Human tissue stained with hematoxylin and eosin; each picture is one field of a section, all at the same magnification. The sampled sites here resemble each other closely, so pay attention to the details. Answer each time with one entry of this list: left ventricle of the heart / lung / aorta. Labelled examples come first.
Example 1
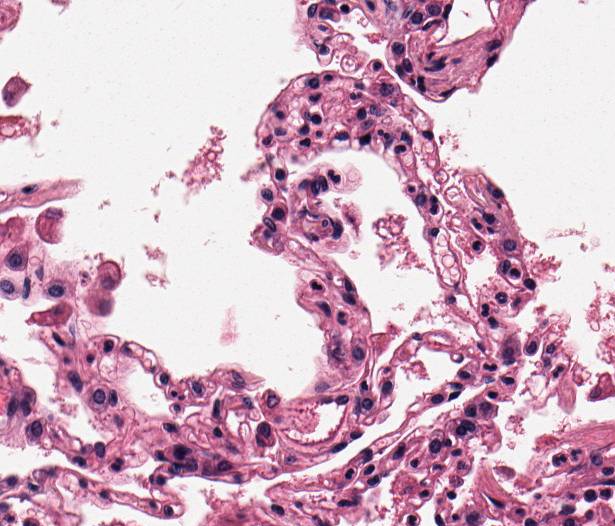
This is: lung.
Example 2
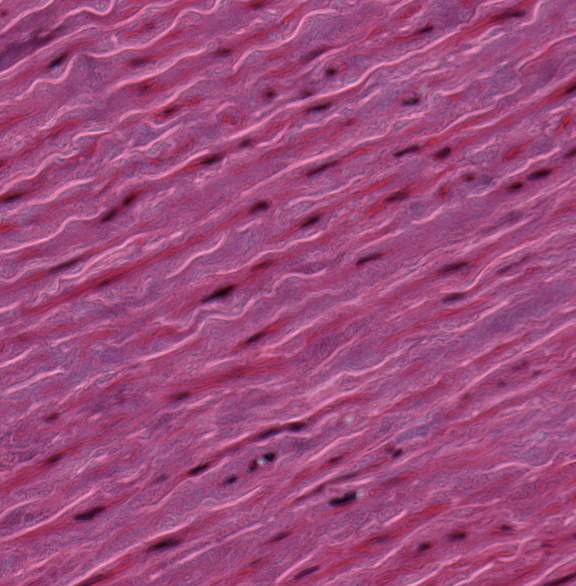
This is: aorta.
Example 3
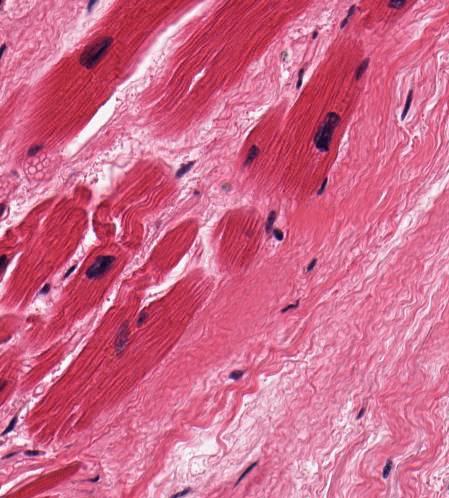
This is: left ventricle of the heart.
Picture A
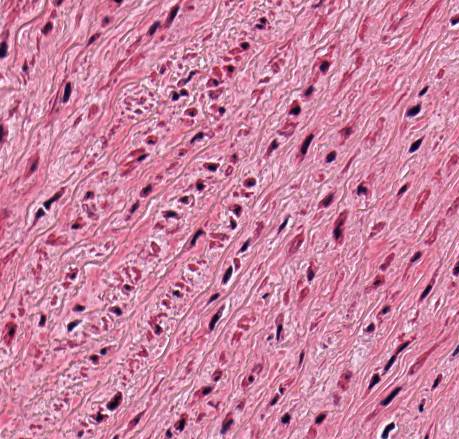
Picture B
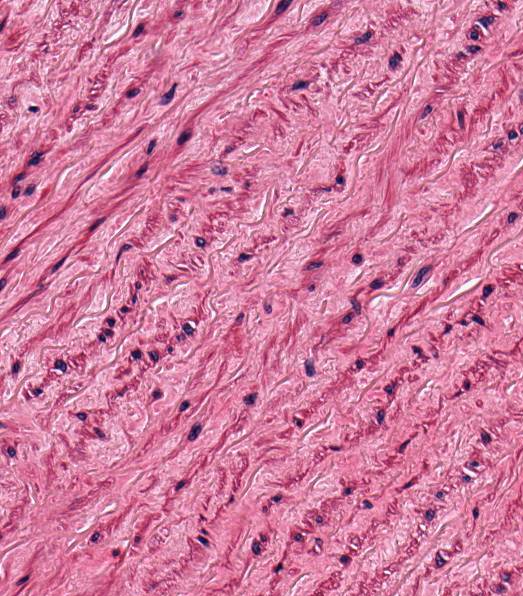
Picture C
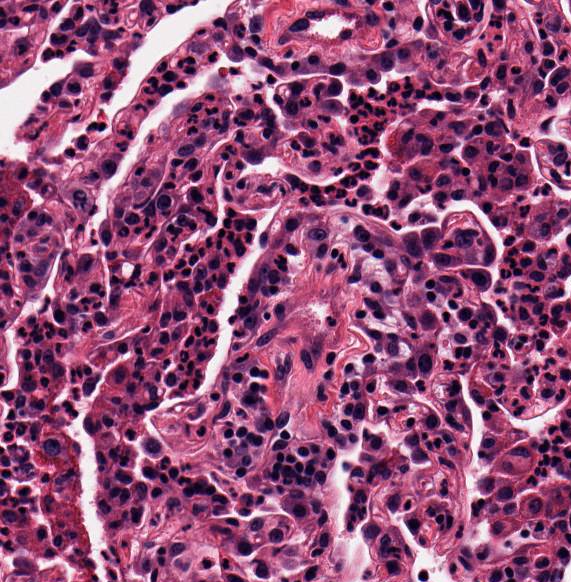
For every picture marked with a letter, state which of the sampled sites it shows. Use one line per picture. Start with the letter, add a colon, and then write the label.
A: aorta.
B: aorta.
C: lung.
